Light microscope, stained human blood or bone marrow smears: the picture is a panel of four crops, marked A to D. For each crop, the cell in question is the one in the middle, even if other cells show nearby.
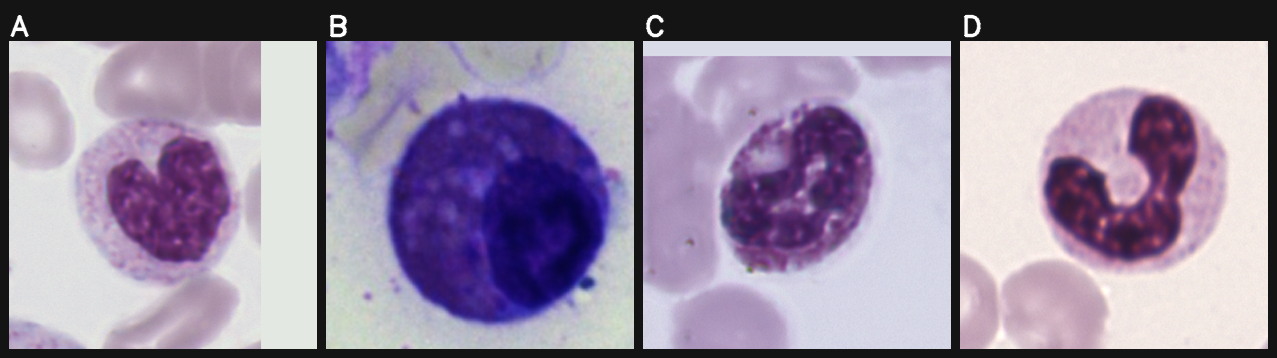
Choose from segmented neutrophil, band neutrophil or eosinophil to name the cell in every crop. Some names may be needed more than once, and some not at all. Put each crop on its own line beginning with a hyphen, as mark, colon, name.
- A: band neutrophil
- B: eosinophil
- C: eosinophil
- D: segmented neutrophil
